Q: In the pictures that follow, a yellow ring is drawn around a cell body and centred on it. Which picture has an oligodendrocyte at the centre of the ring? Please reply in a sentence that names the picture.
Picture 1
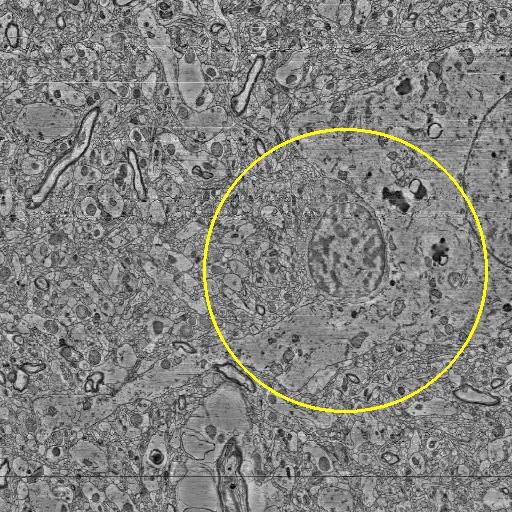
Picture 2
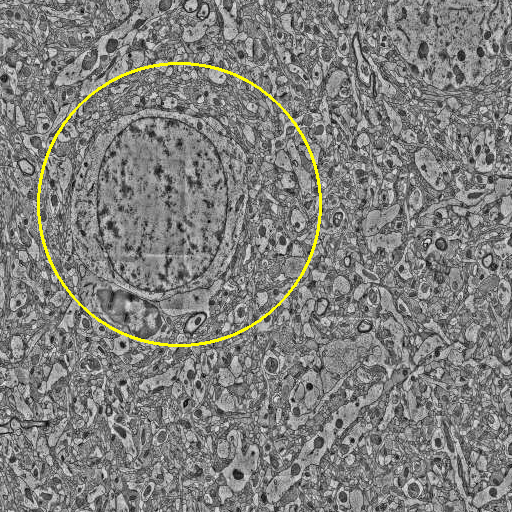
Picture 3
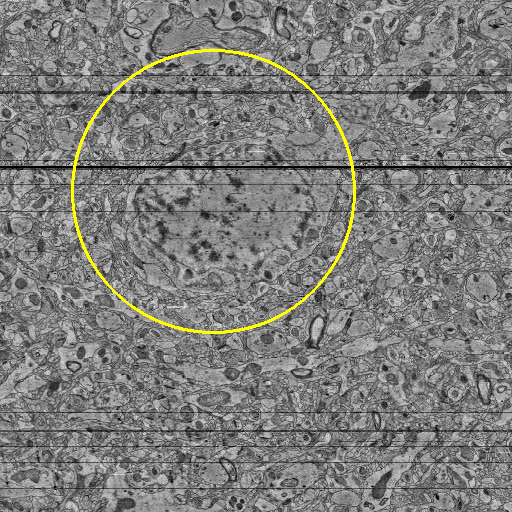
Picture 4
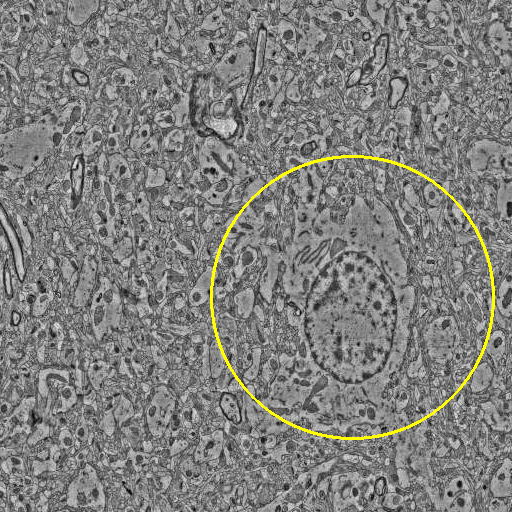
Picture 1 shows it at the centre of its ring.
